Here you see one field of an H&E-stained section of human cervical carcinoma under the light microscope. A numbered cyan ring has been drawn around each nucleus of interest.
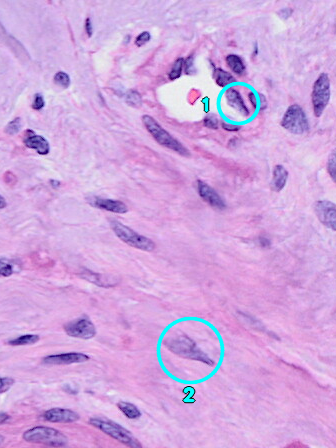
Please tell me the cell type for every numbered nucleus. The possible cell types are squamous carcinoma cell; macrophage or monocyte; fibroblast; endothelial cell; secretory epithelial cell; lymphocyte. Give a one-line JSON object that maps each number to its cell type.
{"1": "endothelial cell", "2": "fibroblast"}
